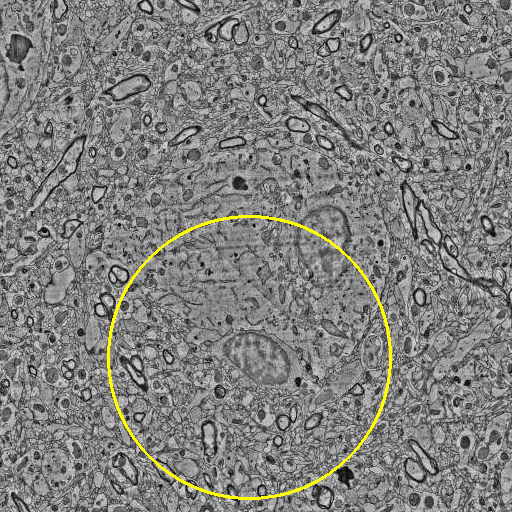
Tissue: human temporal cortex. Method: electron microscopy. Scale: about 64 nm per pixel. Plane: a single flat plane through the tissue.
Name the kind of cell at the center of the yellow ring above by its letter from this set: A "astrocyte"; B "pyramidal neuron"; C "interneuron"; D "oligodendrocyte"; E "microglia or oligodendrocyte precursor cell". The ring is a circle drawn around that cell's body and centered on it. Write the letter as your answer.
D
